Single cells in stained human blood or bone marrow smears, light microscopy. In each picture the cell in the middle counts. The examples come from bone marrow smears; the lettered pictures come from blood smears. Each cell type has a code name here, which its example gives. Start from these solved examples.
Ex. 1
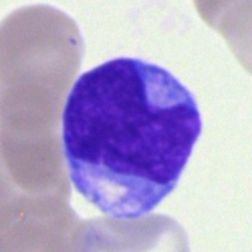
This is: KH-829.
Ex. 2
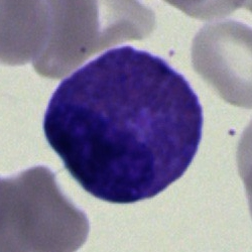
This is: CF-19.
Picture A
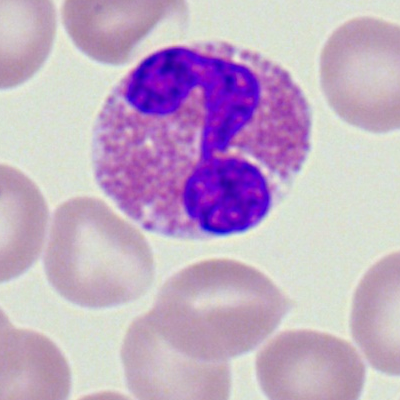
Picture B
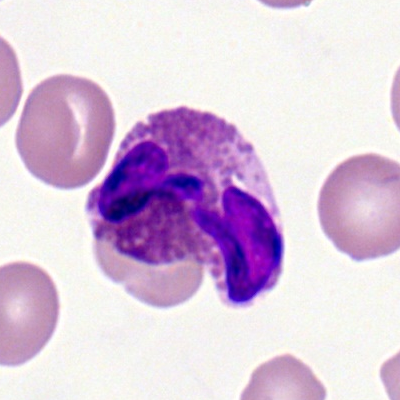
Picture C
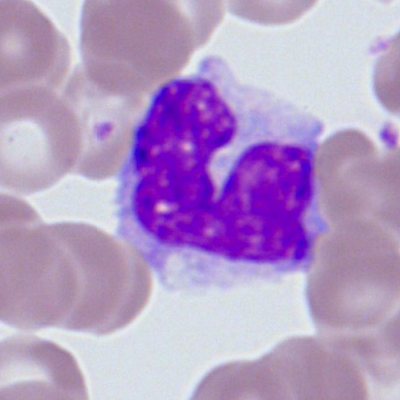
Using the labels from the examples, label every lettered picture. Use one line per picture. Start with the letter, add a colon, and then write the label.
A: CF-19.
B: CF-19.
C: KH-829.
